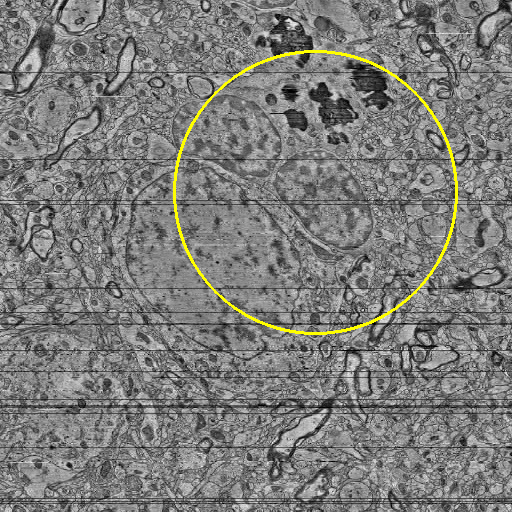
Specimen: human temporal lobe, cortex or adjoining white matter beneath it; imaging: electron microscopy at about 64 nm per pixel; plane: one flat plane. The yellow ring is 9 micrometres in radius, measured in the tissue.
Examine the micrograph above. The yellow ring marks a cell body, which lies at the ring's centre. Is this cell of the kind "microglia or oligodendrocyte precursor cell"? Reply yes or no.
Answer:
no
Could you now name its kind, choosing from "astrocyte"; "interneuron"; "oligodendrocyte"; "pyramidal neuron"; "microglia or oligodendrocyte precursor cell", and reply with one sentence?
This picture has an oligodendrocyte at the centre of its ring.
